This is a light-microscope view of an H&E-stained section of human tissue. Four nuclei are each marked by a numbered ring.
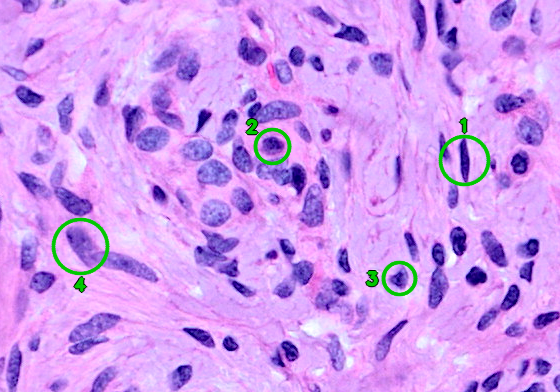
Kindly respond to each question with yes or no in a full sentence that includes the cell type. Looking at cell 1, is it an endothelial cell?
No, the cell given the number 1 is a fibroblast, so not an endothelial cell.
